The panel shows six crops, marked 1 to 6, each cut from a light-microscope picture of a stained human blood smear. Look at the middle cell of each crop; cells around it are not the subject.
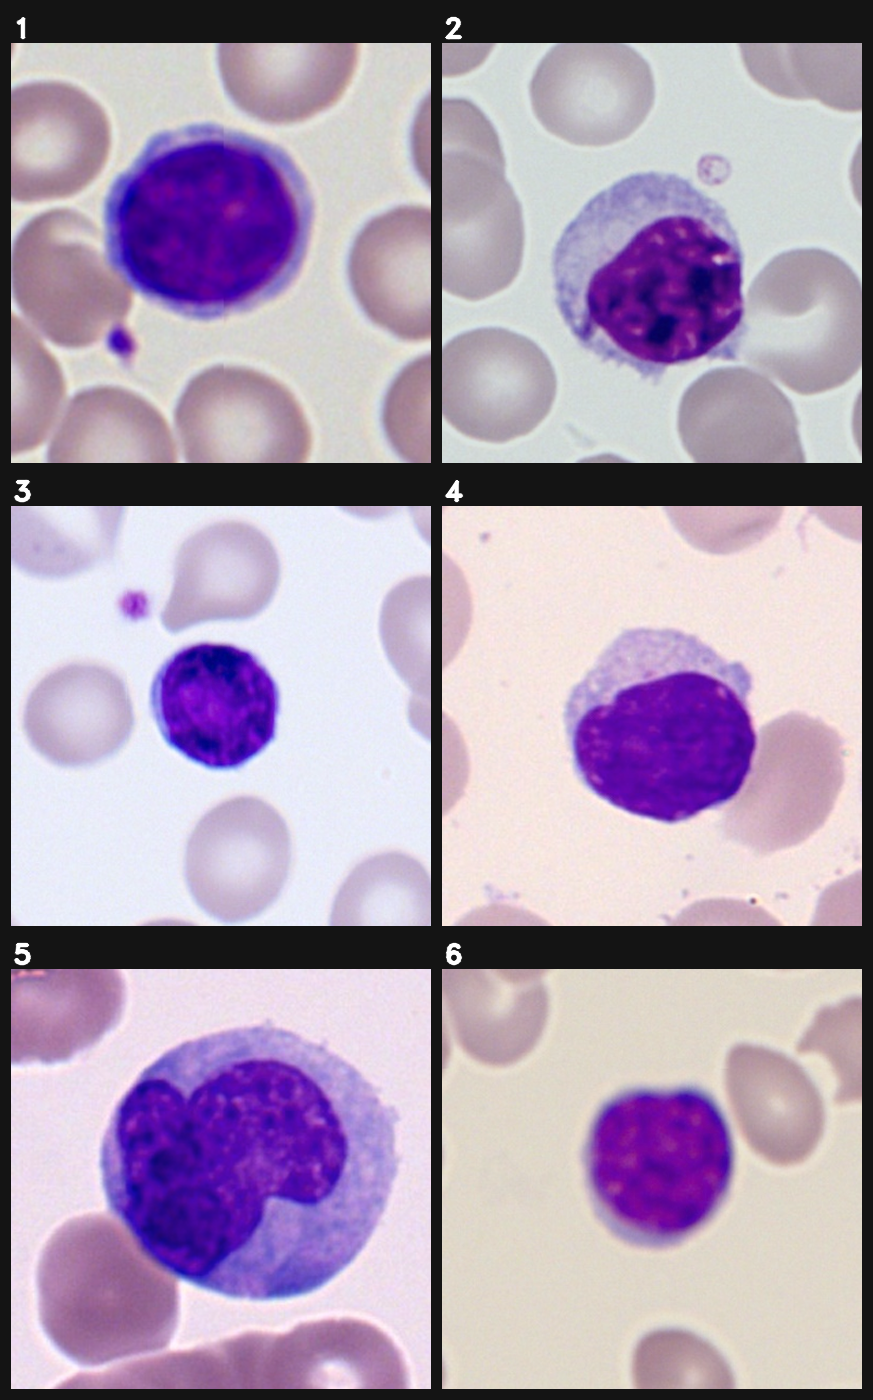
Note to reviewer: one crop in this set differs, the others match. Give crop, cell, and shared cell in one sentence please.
The central cell of crop 5 is a monocyte, while the other crops show lymphocytes.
